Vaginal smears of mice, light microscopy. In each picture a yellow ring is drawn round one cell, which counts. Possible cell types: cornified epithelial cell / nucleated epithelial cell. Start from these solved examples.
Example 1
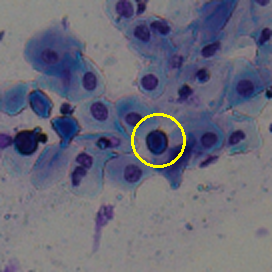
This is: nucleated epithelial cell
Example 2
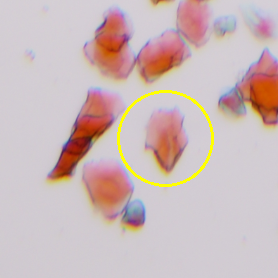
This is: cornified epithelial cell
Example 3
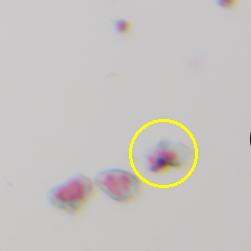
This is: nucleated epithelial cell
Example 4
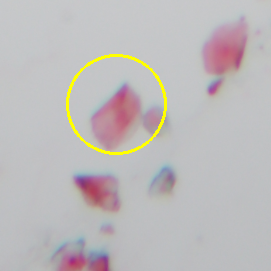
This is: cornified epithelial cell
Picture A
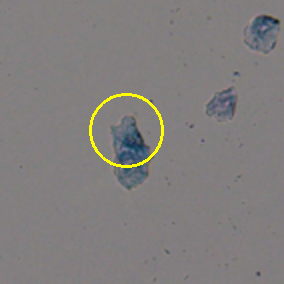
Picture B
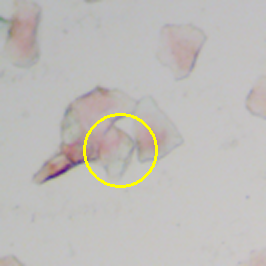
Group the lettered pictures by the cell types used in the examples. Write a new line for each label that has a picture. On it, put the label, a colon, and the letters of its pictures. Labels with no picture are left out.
cornified epithelial cell: A, B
